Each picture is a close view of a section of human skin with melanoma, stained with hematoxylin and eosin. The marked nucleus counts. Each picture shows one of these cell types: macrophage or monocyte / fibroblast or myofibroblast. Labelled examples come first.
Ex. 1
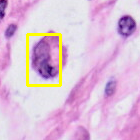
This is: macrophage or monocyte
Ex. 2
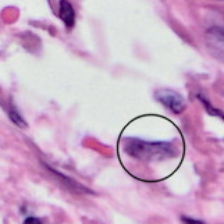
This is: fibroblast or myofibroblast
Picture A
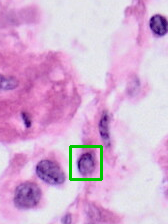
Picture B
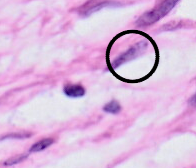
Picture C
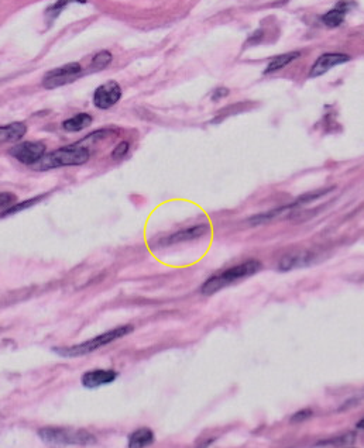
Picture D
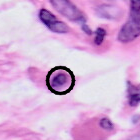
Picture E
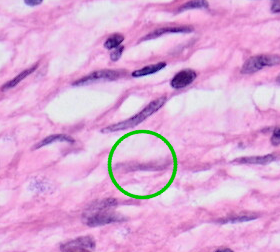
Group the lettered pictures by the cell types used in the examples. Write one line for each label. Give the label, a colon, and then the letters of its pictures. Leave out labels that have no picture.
macrophage or monocyte: A, C, D
fibroblast or myofibroblast: B, E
